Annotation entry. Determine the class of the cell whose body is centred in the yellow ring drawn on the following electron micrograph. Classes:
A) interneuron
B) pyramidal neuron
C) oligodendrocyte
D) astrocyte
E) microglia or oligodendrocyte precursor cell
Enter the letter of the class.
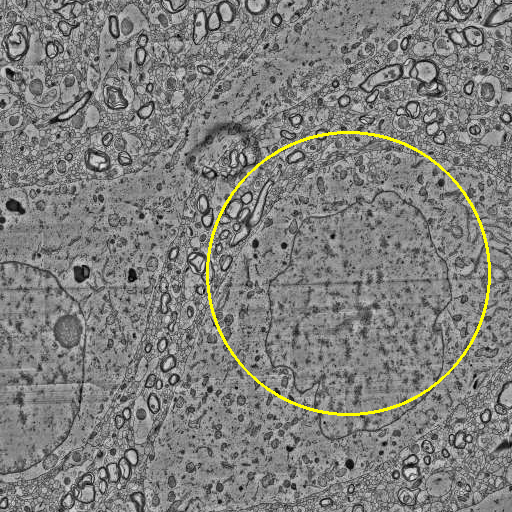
B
